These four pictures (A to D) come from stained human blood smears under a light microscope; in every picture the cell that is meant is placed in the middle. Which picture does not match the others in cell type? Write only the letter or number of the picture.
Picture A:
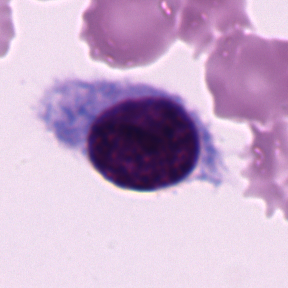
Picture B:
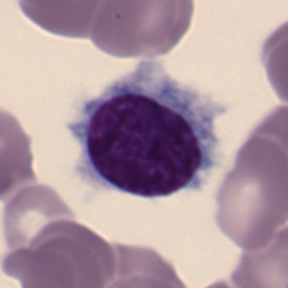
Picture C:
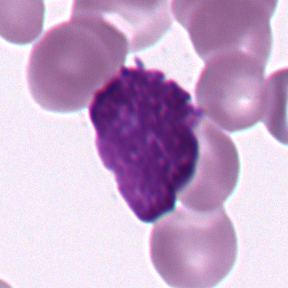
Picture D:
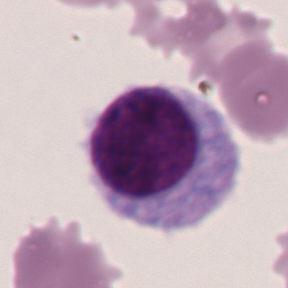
C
